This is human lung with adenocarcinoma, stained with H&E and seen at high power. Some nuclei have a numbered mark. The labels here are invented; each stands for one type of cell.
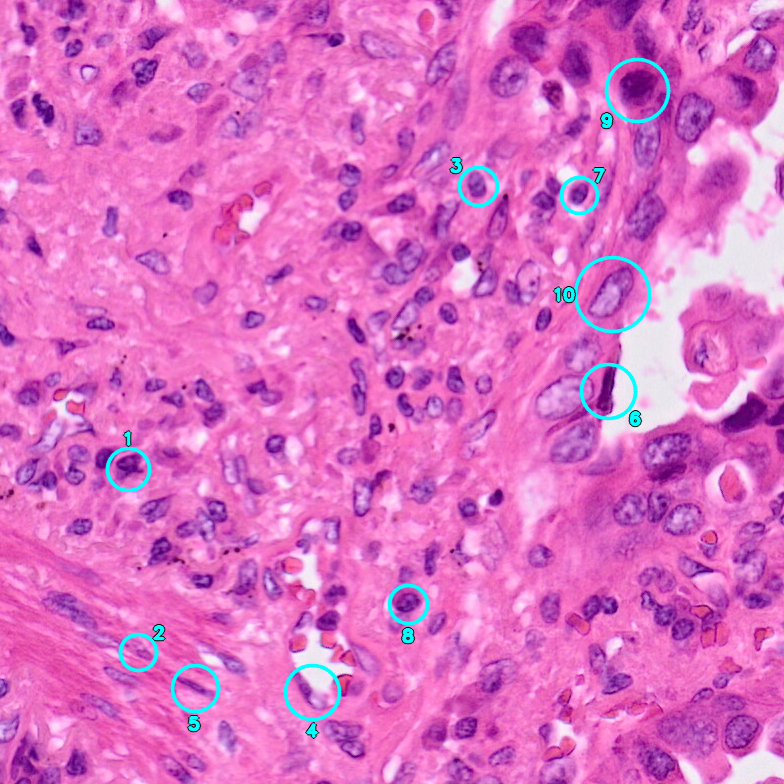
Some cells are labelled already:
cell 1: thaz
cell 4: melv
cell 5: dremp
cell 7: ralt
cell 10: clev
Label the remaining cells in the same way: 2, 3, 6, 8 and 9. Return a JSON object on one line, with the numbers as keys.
{"2": "dremp", "3": "ralt", "6": "clev", "8": "thaz", "9": "clev"}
